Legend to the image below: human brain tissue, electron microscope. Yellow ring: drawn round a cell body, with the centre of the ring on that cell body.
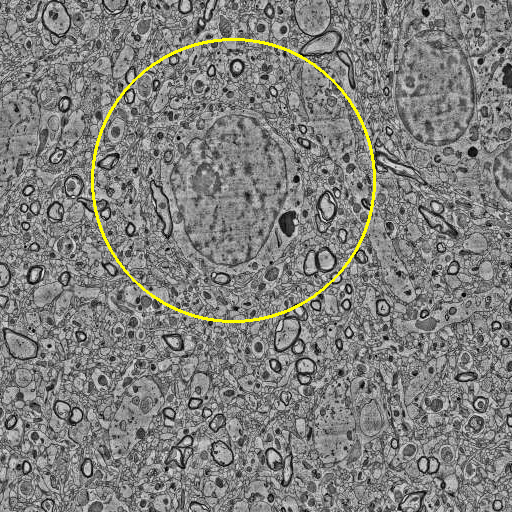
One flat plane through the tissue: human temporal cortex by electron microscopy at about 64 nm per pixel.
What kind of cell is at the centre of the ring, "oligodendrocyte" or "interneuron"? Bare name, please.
interneuron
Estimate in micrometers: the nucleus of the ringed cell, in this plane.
The nucleus is approximately 10 micrometers long by 8 micrometers wide in this plane.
